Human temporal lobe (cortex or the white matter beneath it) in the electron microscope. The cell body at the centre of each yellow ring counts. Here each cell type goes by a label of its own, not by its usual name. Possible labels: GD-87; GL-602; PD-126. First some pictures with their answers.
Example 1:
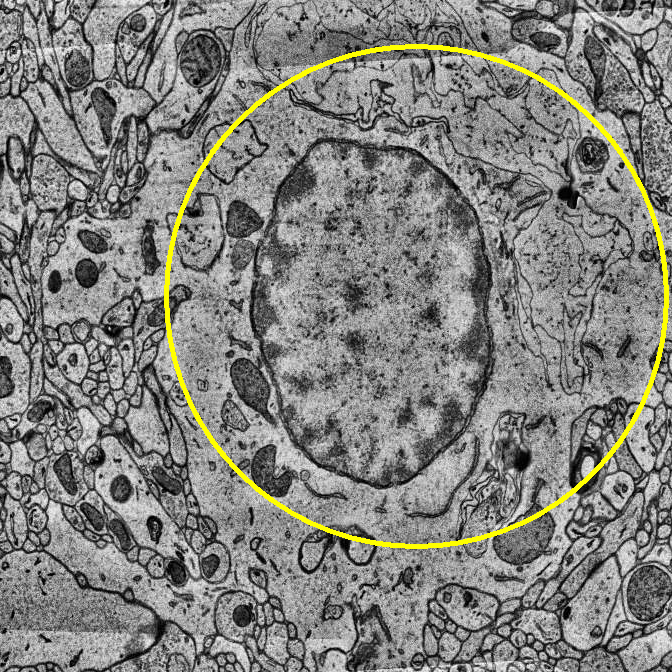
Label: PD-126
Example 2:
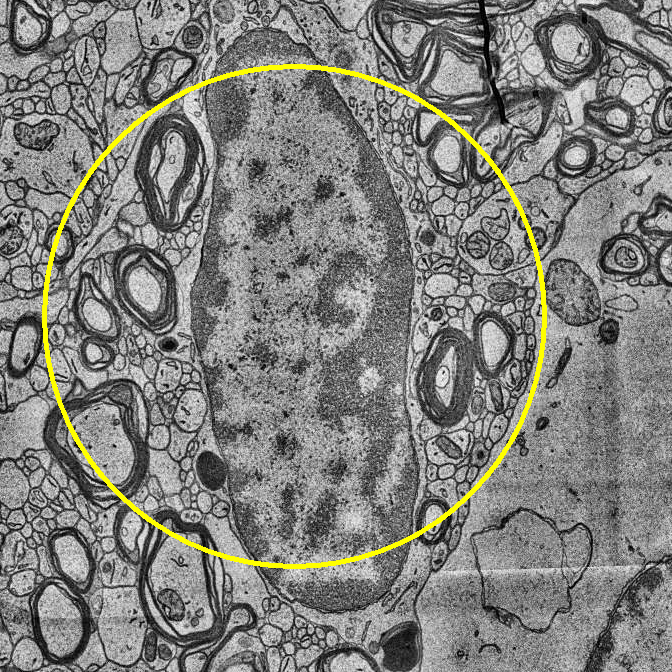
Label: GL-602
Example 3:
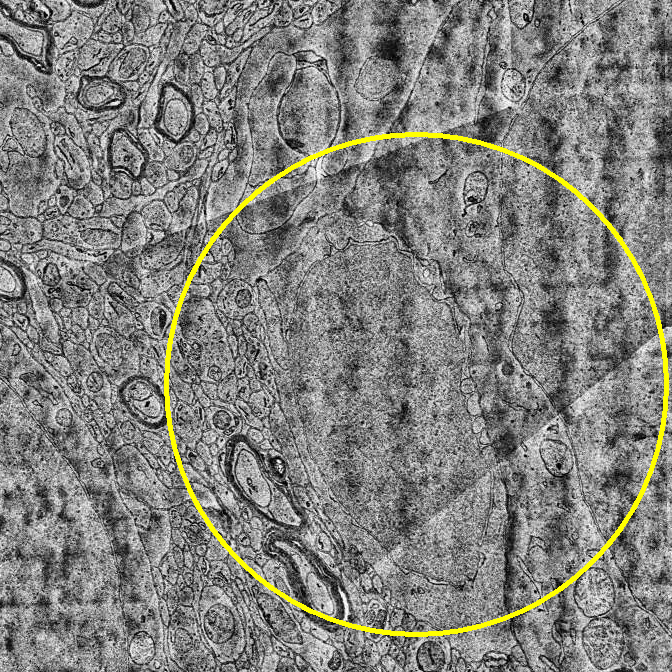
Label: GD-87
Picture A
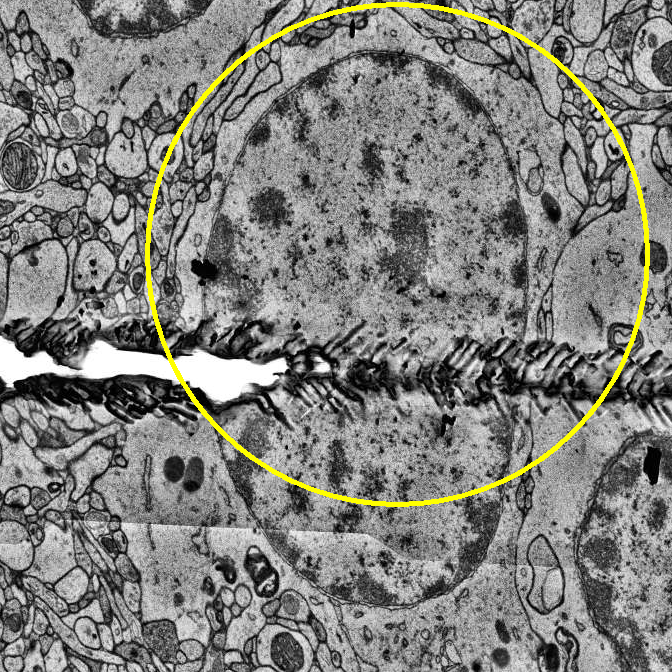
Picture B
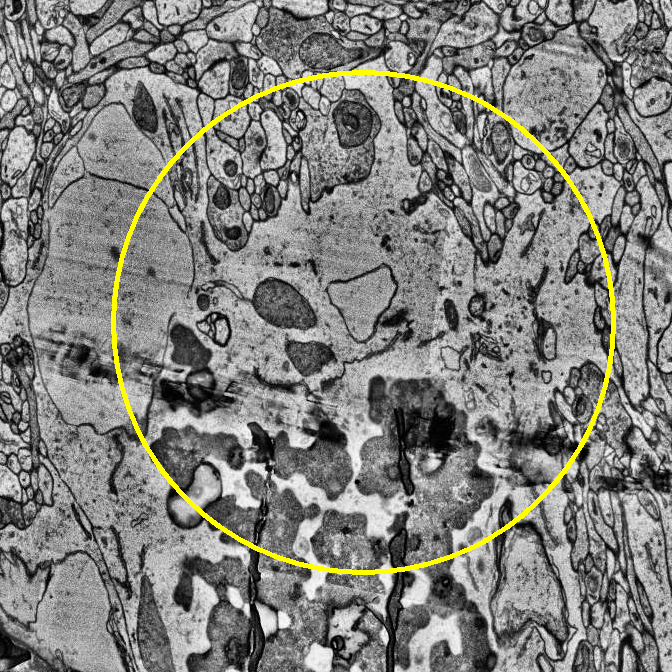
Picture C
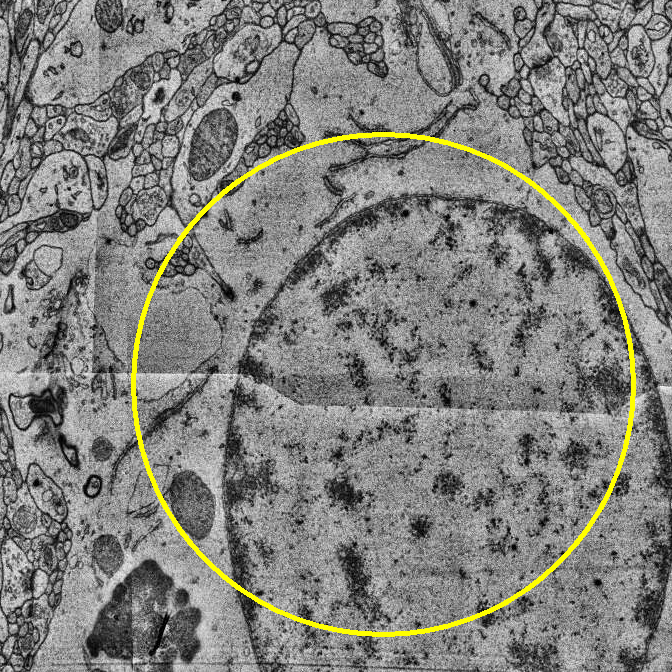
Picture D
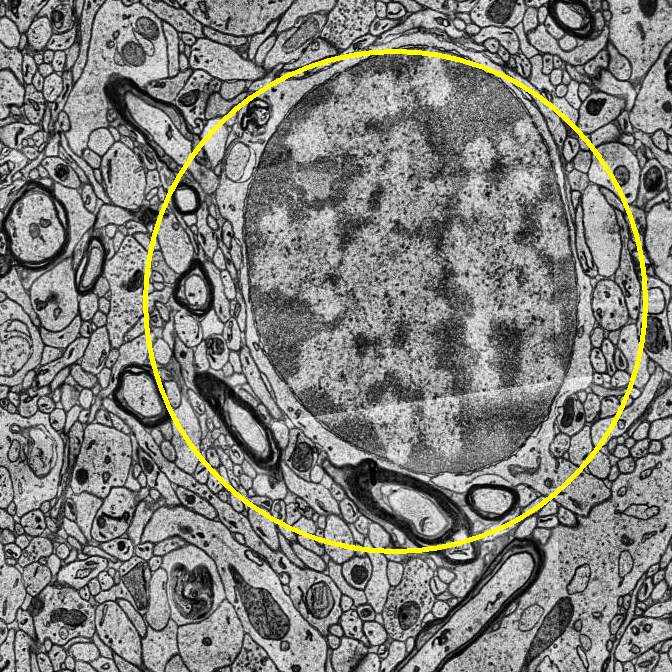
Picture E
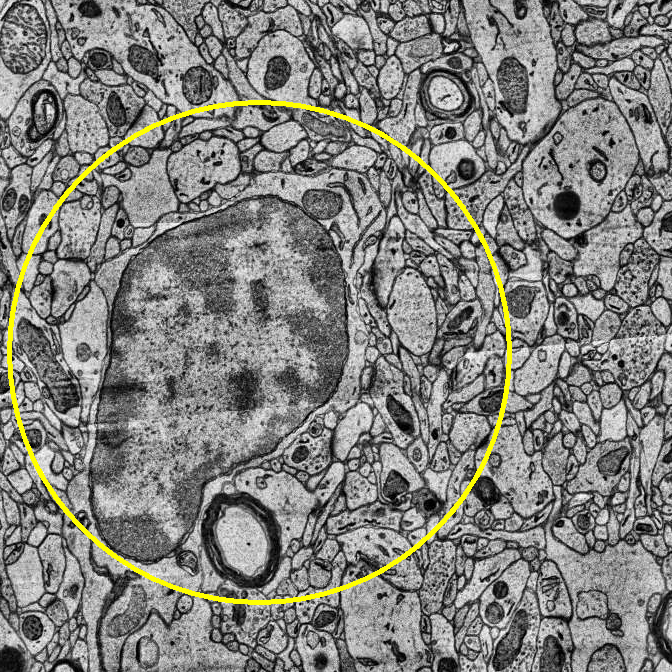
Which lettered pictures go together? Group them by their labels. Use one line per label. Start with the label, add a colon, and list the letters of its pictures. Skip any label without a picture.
GL-602: D, E
PD-126: A, B, C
